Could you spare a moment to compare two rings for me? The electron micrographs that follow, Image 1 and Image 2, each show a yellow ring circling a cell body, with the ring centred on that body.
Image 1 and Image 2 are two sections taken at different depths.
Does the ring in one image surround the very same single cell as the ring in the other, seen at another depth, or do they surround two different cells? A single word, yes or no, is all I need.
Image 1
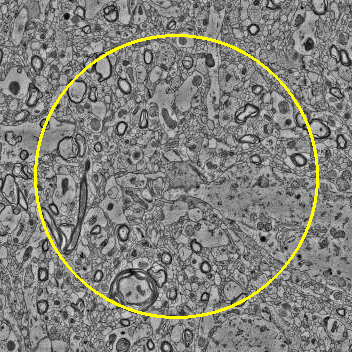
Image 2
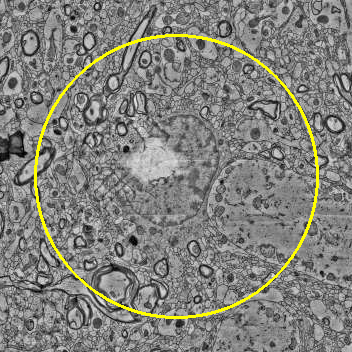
yes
